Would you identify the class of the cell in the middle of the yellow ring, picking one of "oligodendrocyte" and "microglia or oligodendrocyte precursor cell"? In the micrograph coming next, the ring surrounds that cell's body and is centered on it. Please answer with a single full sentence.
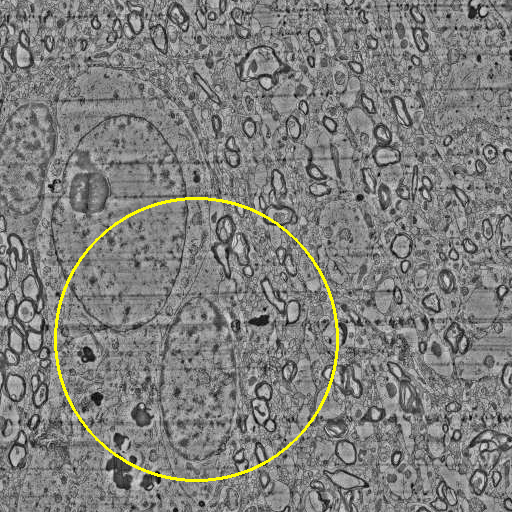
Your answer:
In the micrograph, it is a microglial cell or oligodendrocyte precursor cell whose body lies at the ring's center.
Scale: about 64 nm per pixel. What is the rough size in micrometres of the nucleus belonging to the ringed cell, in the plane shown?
Roughly 10 micrometres long and 5 micrometres wide; in this plane the nucleus is clearly longer than it is wide.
